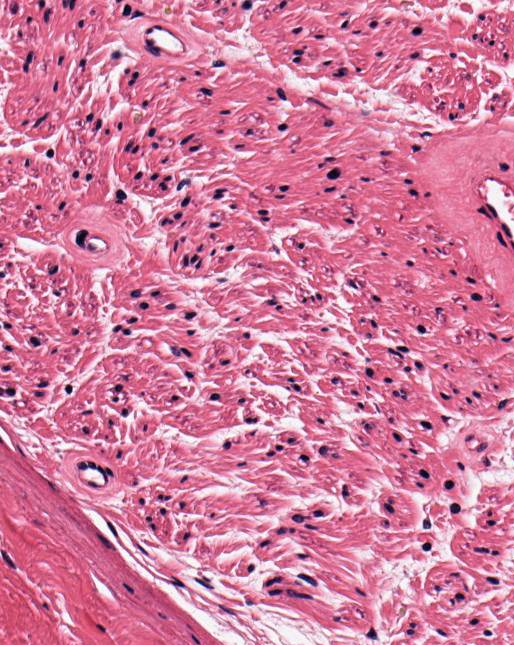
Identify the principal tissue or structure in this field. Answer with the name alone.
nerve fascicle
